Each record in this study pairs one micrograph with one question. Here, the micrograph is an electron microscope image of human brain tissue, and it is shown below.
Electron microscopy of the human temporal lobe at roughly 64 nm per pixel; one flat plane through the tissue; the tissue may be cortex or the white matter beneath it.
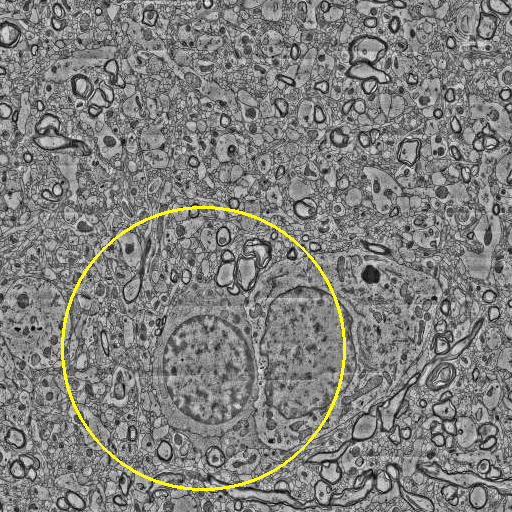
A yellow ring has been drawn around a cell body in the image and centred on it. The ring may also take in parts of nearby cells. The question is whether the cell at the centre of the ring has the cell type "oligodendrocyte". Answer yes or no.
yes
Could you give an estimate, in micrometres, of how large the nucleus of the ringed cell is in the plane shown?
In this plane the nucleus measures roughly 7 by 6 micrometers.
